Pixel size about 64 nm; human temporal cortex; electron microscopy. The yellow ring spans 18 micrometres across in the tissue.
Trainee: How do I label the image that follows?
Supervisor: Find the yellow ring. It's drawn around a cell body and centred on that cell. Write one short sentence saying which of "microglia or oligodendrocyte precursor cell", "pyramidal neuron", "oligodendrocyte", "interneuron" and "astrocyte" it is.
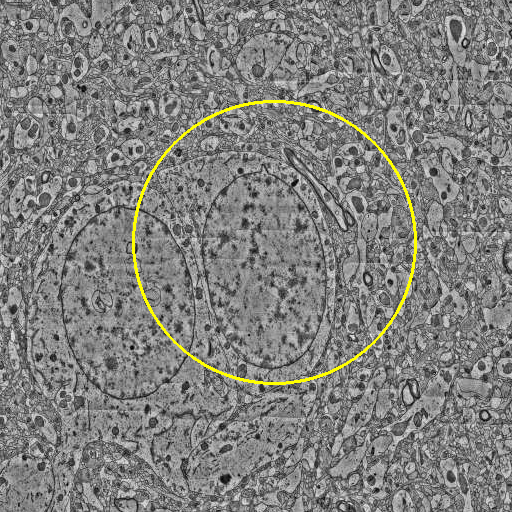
This is the cell body of a pyramidal neuron.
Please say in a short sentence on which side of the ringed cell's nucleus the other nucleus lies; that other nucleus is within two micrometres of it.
That other nucleus appears to the left of it.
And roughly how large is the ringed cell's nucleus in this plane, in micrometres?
About 13 by 8 micrometres in this plane; clearly longer than it is wide.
